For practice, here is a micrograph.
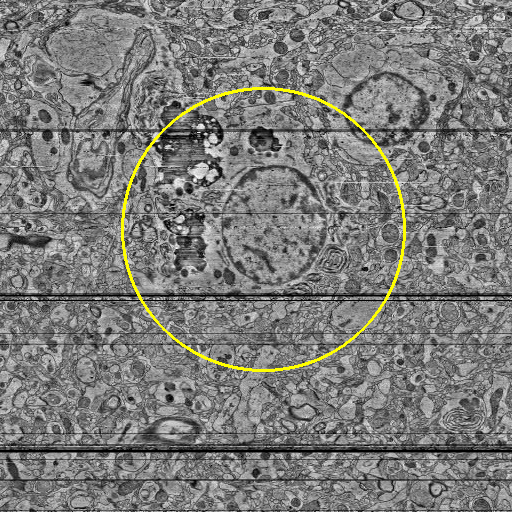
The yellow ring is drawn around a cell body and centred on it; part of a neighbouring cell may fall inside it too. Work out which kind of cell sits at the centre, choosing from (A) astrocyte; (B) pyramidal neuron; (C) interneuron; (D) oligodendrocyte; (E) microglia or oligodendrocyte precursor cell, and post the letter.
A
